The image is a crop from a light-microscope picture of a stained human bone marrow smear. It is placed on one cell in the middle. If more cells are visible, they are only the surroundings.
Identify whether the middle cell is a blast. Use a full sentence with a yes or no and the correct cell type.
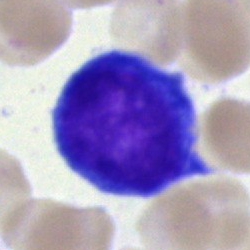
Yes, the cell in the middle of the view is a blast.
